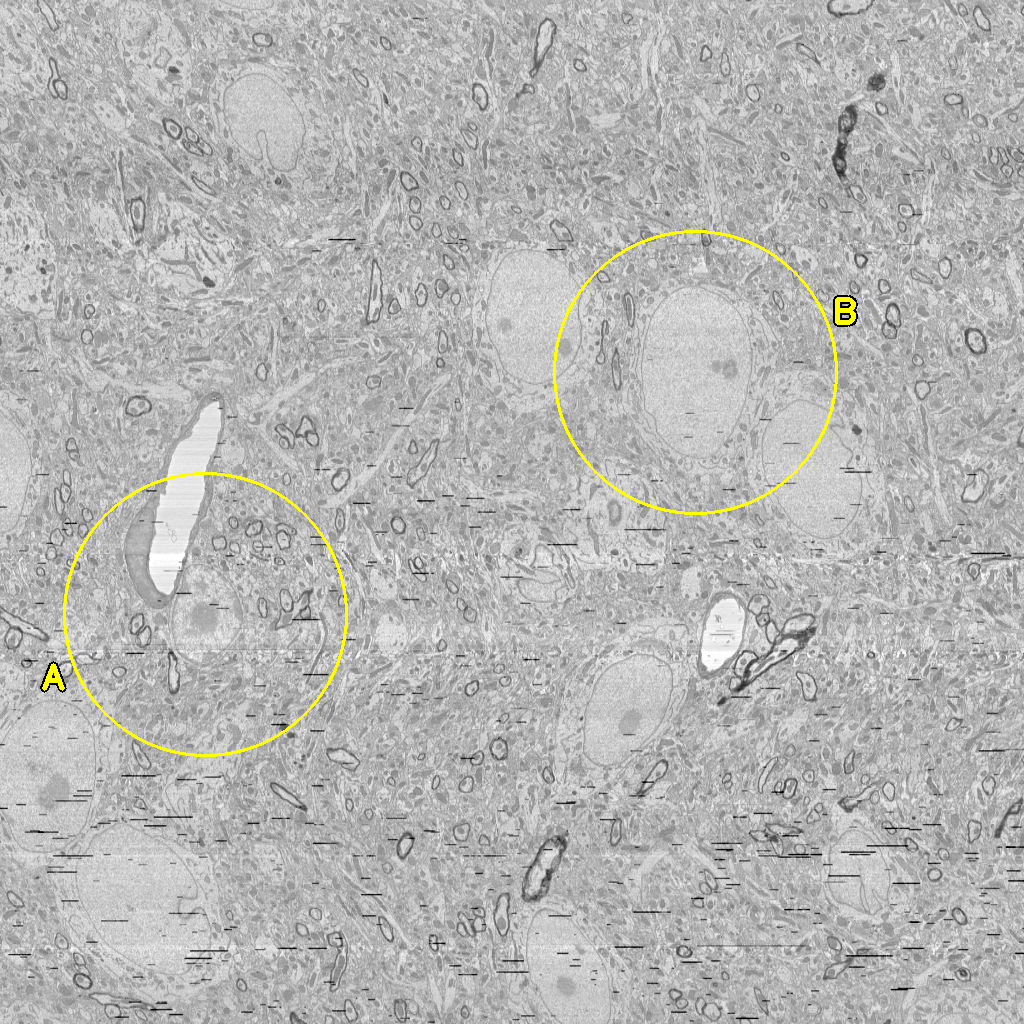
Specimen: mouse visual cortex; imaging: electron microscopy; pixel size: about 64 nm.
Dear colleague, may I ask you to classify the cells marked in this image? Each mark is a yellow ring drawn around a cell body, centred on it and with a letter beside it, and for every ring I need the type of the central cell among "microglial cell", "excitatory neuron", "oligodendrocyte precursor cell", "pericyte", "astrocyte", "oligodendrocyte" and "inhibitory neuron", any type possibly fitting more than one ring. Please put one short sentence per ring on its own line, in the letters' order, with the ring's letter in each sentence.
Ring A contains an oligodendrocyte at its centre.
Ring B contains an excitatory neuron at its centre.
